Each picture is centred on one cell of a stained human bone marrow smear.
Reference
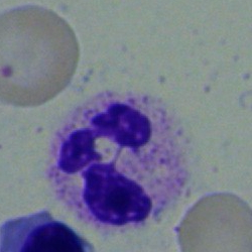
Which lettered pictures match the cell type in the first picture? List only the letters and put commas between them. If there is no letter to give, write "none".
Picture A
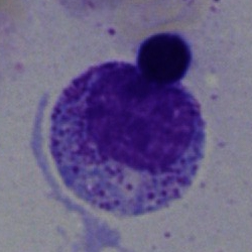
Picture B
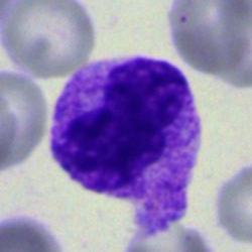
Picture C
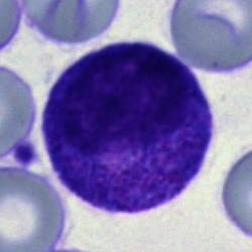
none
